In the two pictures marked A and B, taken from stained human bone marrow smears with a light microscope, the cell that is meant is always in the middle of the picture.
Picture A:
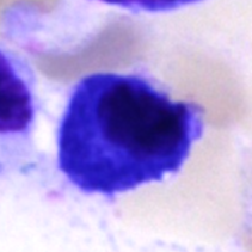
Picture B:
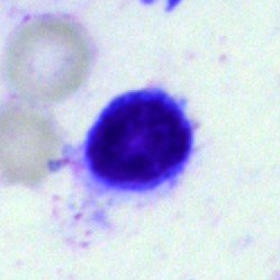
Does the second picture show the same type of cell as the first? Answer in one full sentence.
No. Picture A shows a plasma cell, but picture B shows a lymphocyte.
